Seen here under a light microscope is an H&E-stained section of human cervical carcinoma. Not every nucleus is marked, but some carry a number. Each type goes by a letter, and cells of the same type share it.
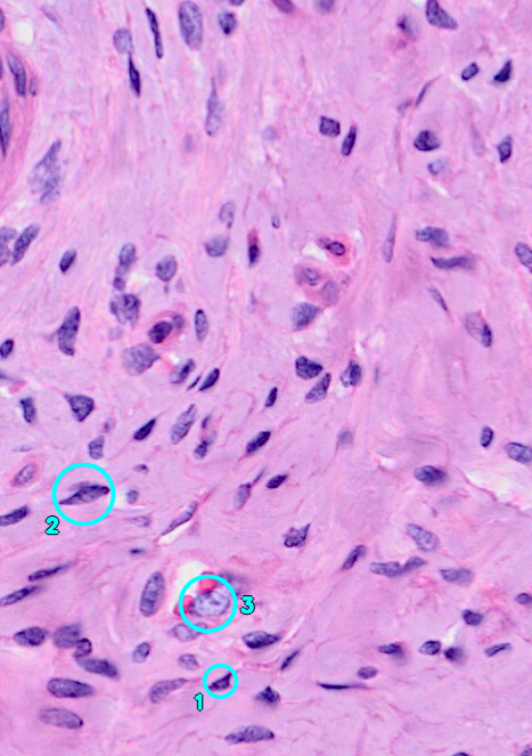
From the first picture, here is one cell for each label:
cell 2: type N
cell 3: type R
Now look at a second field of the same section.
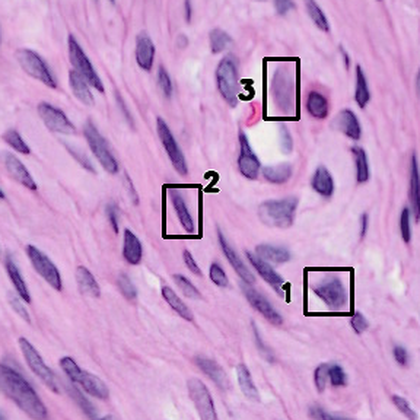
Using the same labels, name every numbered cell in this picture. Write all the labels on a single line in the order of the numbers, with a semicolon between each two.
type N; type N; type R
